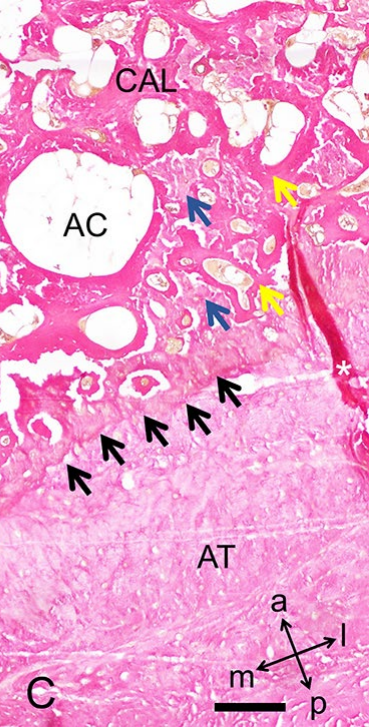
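This section shows the zone where a dense tendon is inserted into the calcaneus, all stained in shades of pink. In the upper part, irregular deep pink bony trabeculae enclose marrow spaces, some of them large, round and empty like fat cells, others small and containing brownish material. In the lower part the tendon forms a paler pink, densely fibrous tissue with bundled fibres and no marrow spaces, separated from the bone by an uneven border. A dark red fold runs along the right edge of the section.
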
